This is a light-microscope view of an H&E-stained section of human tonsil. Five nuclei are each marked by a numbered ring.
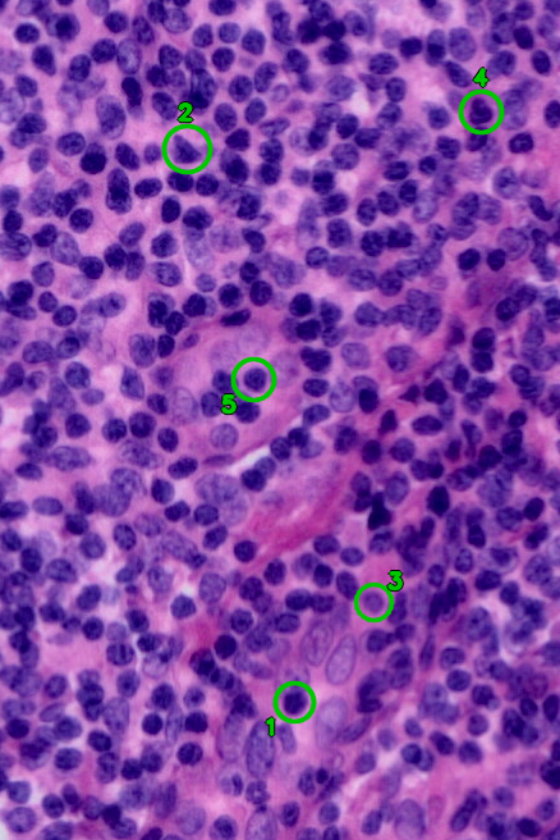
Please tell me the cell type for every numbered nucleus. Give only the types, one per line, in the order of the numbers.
endothelial cell
small lymphocyte
endothelial cell
plasma cell
endothelial cell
